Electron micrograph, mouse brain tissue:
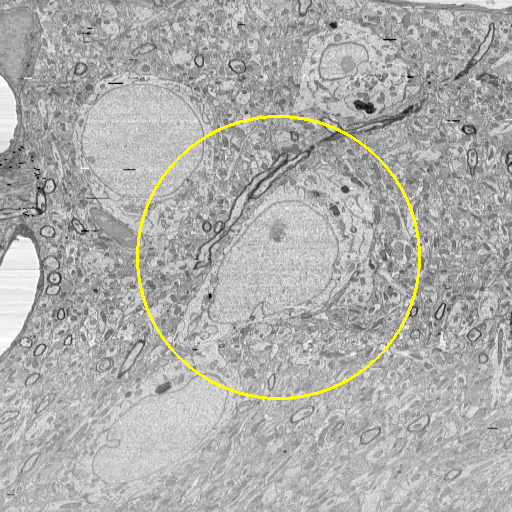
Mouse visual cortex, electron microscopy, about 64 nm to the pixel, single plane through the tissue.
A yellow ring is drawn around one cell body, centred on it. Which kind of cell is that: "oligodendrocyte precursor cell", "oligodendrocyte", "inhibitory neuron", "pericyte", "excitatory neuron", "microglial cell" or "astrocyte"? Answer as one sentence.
It is an inhibitory neuron at the centre of the ring.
